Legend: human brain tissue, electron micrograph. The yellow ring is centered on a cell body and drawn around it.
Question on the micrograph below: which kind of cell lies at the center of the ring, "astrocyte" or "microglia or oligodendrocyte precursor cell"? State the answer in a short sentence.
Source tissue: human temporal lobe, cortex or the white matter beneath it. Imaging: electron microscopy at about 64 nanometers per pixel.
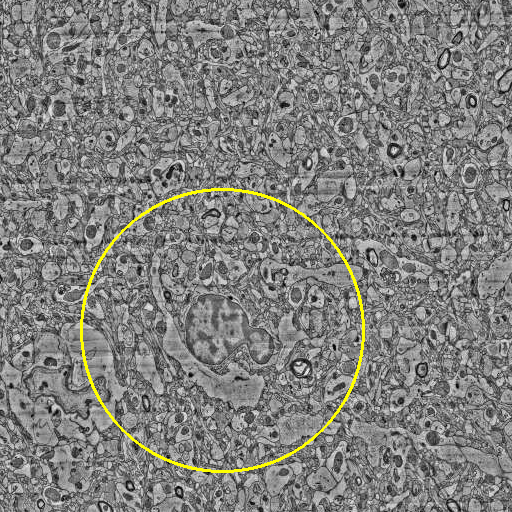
At the center of the ring lies a microglial cell or oligodendrocyte precursor cell.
